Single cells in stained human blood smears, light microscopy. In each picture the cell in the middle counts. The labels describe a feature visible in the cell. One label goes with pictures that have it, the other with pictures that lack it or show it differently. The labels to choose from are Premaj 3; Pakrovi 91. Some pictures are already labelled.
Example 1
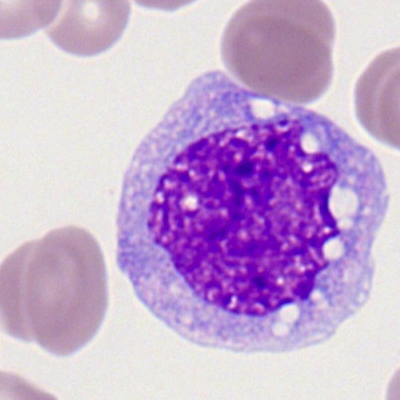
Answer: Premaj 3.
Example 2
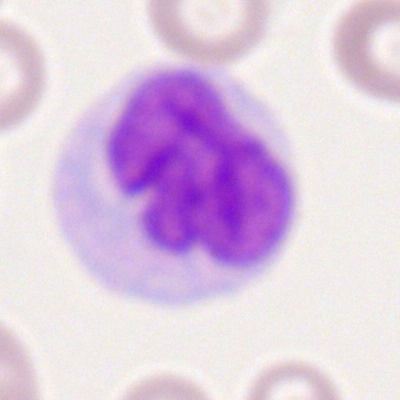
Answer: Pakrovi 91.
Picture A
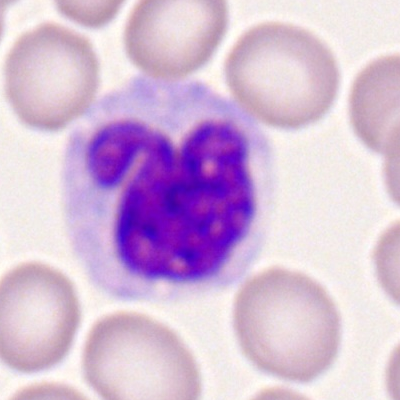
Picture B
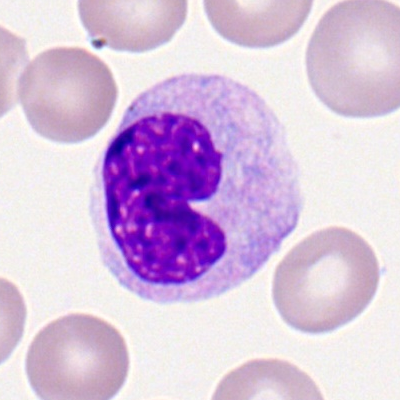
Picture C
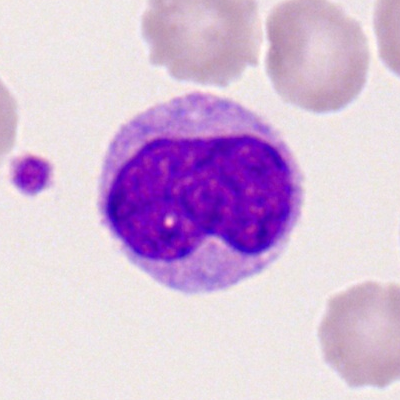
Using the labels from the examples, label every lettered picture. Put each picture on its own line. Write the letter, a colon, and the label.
A: Pakrovi 91.
B: Premaj 3.
C: Premaj 3.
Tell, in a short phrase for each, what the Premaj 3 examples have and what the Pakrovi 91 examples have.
Premaj 3: single compact nucleus; Pakrovi 91: lobed nucleus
